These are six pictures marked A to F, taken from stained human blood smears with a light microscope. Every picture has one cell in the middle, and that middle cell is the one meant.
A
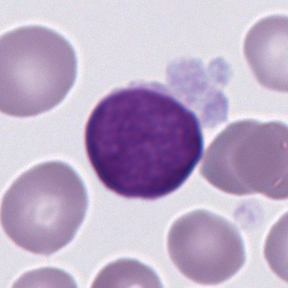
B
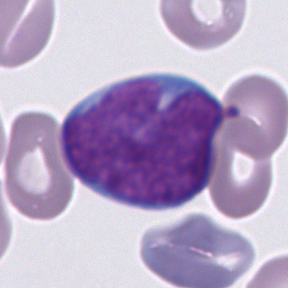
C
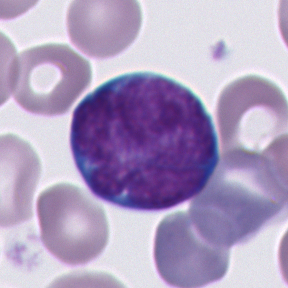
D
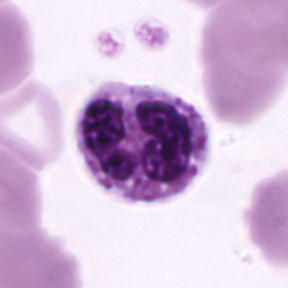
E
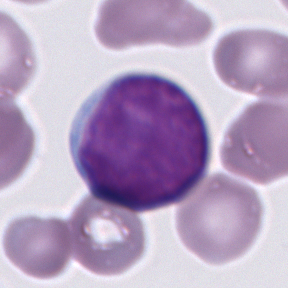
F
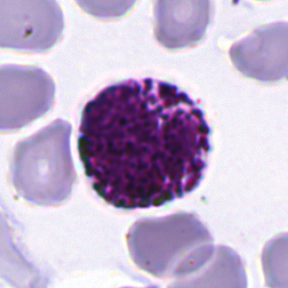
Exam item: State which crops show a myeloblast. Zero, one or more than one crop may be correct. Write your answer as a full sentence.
The cells at the centre of the crops labelled A, B, C and E are myeloblasts.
